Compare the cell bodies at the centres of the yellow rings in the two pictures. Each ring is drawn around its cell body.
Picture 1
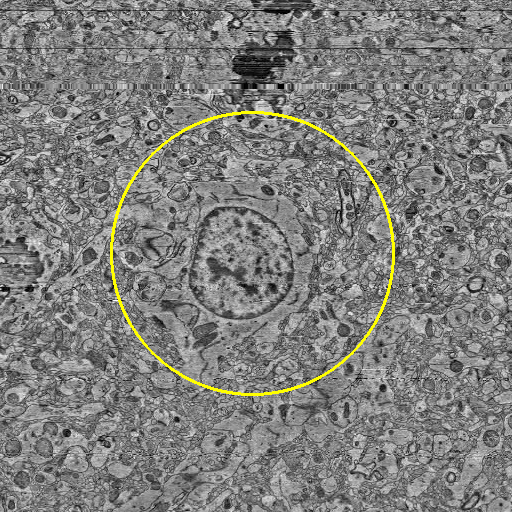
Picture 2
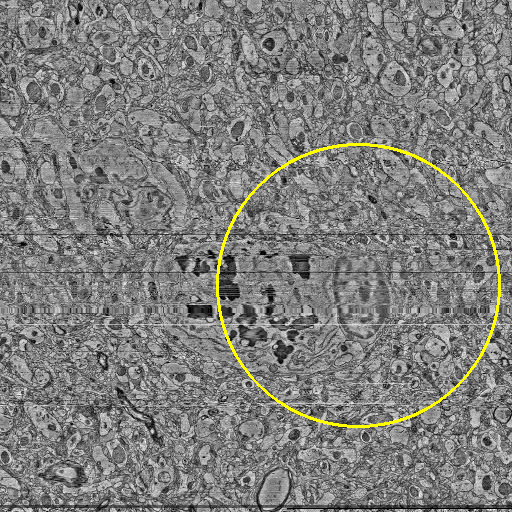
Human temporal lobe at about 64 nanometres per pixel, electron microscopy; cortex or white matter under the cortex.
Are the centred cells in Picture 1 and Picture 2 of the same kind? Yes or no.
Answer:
no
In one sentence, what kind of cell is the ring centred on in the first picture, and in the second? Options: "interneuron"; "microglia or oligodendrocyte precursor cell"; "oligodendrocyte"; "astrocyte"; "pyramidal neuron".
The cell at the centre of the second ring is an oligodendrocyte; the first ring's cell is an astrocyte.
